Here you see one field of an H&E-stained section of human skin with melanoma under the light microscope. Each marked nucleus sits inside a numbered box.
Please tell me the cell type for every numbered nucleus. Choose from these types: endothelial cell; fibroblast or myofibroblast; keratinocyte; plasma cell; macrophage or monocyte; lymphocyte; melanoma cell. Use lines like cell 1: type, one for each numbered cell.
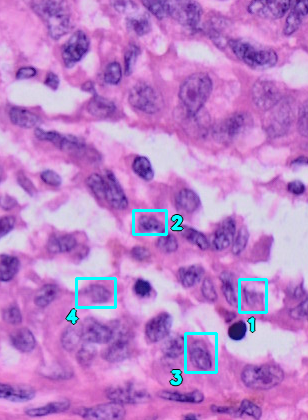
cell 1: melanoma cell
cell 2: macrophage or monocyte
cell 3: melanoma cell
cell 4: melanoma cell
